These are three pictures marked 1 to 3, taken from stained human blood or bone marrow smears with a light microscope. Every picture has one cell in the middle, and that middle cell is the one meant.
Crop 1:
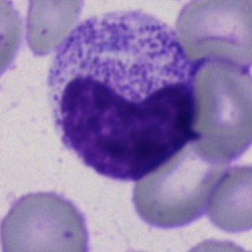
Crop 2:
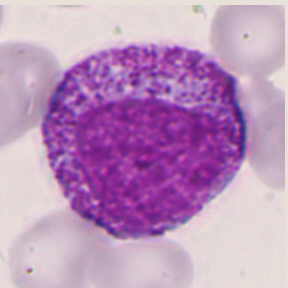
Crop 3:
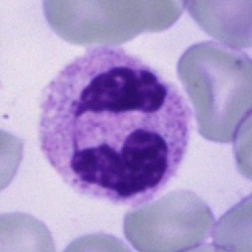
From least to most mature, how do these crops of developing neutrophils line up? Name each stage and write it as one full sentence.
The least to most mature sequence reads crop 2 (a promyelocyte), crop 1 (a metamyelocyte) and crop 3 (a segmented neutrophil).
